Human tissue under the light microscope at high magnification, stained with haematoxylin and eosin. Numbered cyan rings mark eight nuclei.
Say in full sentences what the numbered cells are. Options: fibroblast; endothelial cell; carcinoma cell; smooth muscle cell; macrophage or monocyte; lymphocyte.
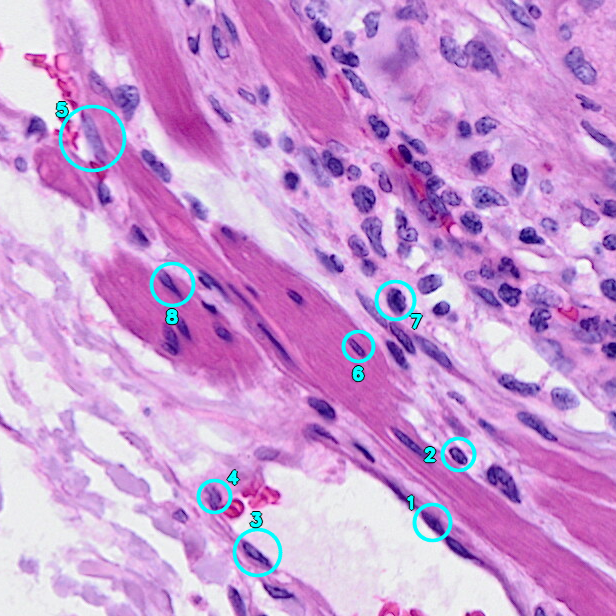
Cells 1, 3, 4 and 5 are endothelial cells. Cells 2 and 7 are lymphocytes. Cells 6 and 8 are smooth muscle cells.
